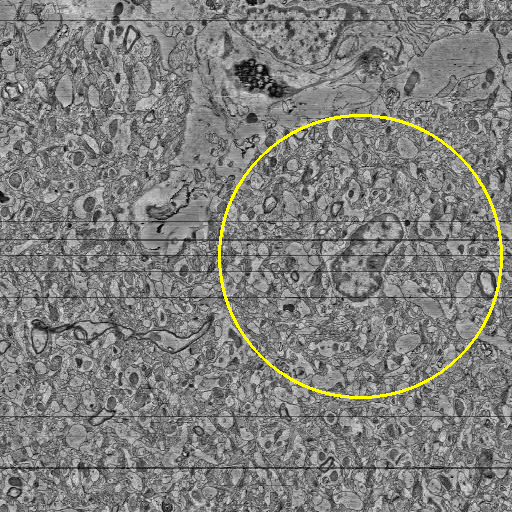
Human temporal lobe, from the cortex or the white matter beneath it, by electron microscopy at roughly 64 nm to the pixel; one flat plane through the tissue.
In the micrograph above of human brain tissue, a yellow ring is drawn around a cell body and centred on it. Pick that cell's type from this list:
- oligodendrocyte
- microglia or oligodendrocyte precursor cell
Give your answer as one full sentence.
Going by the list, a microglial cell or oligodendrocyte precursor cell is the cell on which the yellow ring is centred.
